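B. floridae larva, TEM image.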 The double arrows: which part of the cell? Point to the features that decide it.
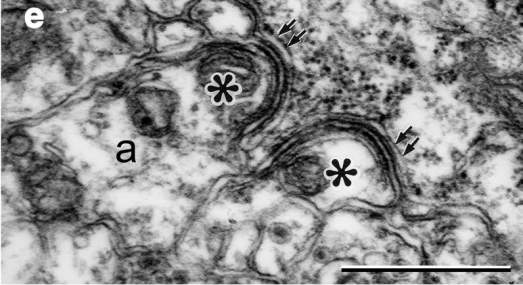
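Cisternae. The double arrows point to flat, paired membrane-bounded sacs running parallel to the plasma membrane. These sacs curve around the profiles marked by asterisks.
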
